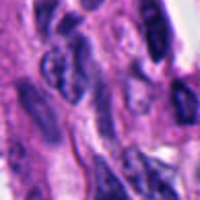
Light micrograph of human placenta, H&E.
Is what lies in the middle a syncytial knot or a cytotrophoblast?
It is a cytotrophoblast.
